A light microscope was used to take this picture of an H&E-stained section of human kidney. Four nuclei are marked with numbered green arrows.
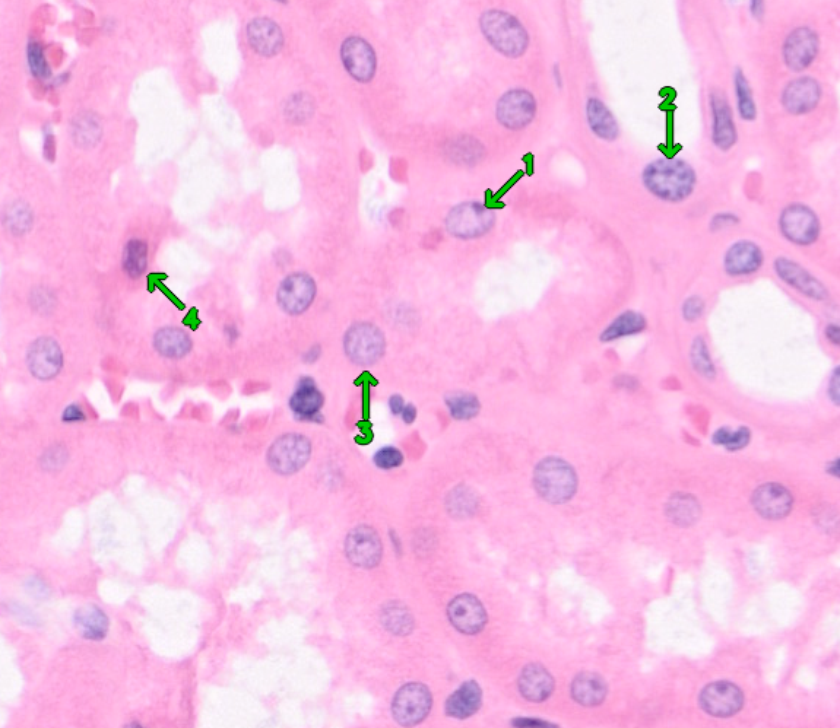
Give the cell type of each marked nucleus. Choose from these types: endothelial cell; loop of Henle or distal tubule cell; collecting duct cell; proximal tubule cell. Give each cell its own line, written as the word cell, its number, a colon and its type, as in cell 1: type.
cell 1: proximal tubule cell
cell 2: collecting duct cell
cell 3: proximal tubule cell
cell 4: proximal tubule cell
